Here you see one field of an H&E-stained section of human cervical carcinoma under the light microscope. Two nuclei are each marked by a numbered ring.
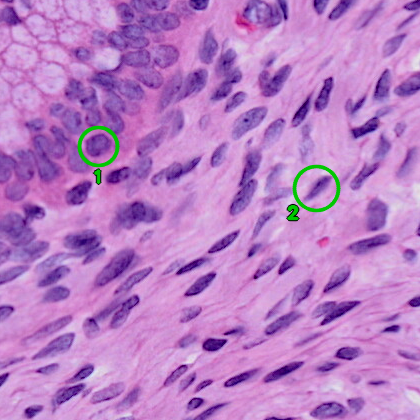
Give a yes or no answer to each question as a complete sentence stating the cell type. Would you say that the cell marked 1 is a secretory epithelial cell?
Yes, the cell that bears number 1 is a secretory epithelial cell.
